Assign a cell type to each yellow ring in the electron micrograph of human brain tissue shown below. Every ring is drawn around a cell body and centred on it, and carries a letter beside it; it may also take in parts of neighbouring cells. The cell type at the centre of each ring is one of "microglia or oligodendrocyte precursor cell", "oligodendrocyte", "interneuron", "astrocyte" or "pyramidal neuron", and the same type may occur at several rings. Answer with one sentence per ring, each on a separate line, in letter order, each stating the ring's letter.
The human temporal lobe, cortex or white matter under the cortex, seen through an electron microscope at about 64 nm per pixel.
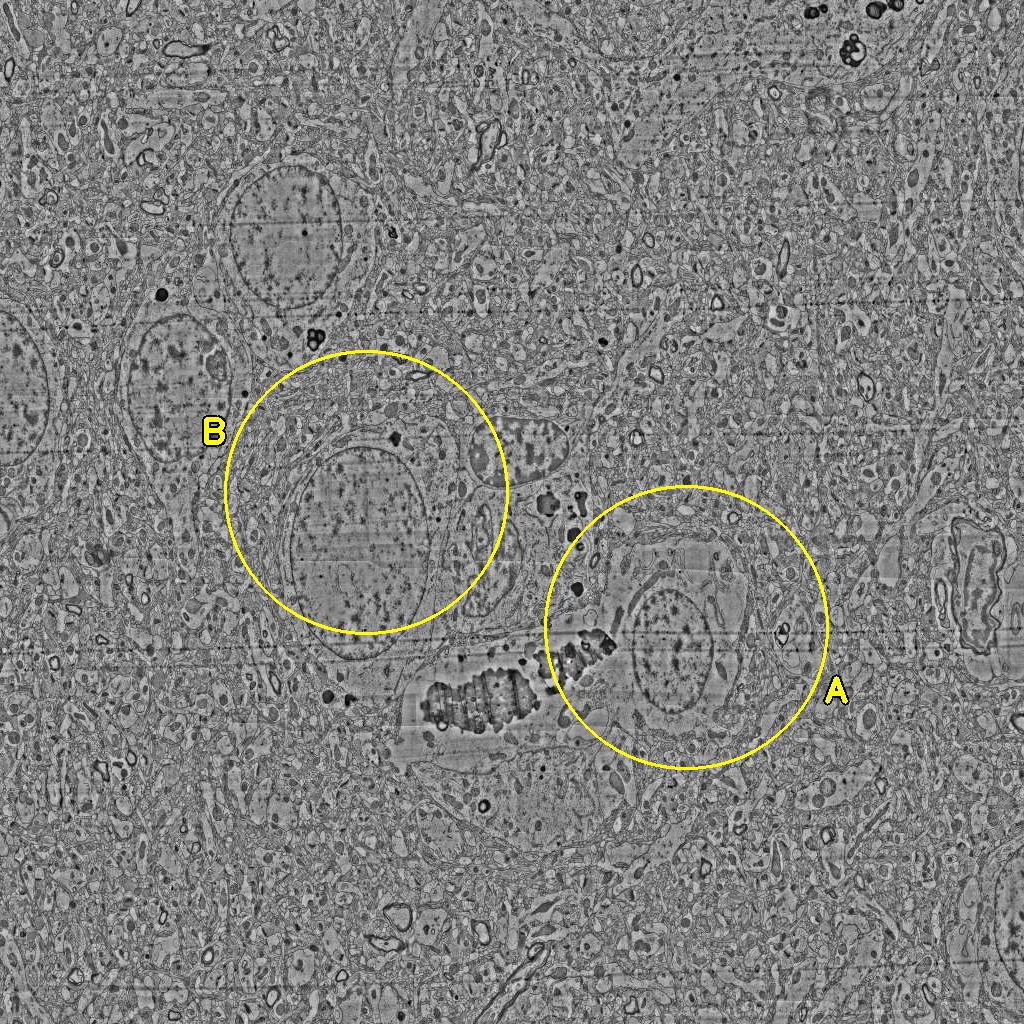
The cell at ring A's centre is an astrocyte.
The cell at ring B's centre is a pyramidal neuron.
